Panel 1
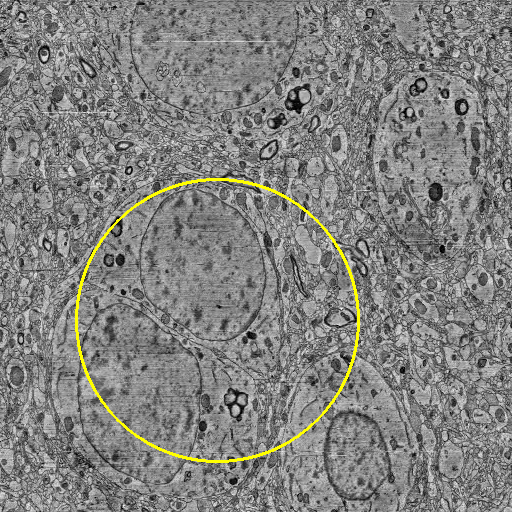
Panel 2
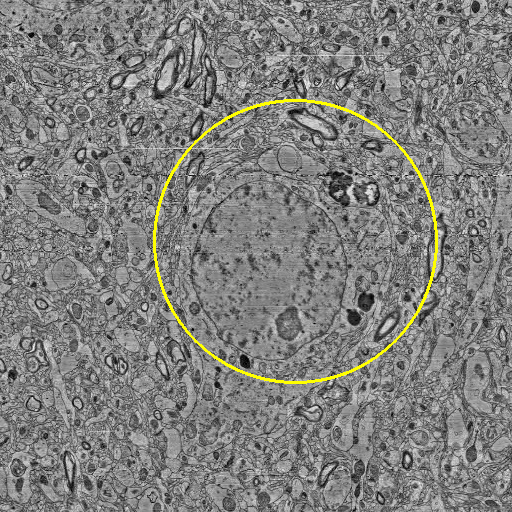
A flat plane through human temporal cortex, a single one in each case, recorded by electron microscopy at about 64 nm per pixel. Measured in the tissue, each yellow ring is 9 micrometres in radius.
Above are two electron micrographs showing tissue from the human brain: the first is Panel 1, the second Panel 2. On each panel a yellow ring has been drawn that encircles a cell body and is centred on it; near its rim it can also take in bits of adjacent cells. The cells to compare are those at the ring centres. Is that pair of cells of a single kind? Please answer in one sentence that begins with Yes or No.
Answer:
Yes, the ring-centred cells of Panel 1 and Panel 2 belong to one kind.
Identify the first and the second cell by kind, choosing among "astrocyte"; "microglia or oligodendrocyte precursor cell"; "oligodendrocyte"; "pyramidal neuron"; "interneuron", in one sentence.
Each cell, in the first picture and the second, is a pyramidal neuron.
